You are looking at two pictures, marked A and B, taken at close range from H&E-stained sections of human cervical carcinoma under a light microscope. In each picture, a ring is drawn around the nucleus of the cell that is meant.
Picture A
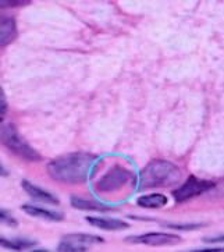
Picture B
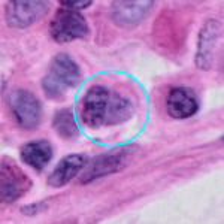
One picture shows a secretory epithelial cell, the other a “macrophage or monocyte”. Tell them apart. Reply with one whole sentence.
Picture A is of a secretory epithelial cell, and picture B is of a “macrophage or monocyte”.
